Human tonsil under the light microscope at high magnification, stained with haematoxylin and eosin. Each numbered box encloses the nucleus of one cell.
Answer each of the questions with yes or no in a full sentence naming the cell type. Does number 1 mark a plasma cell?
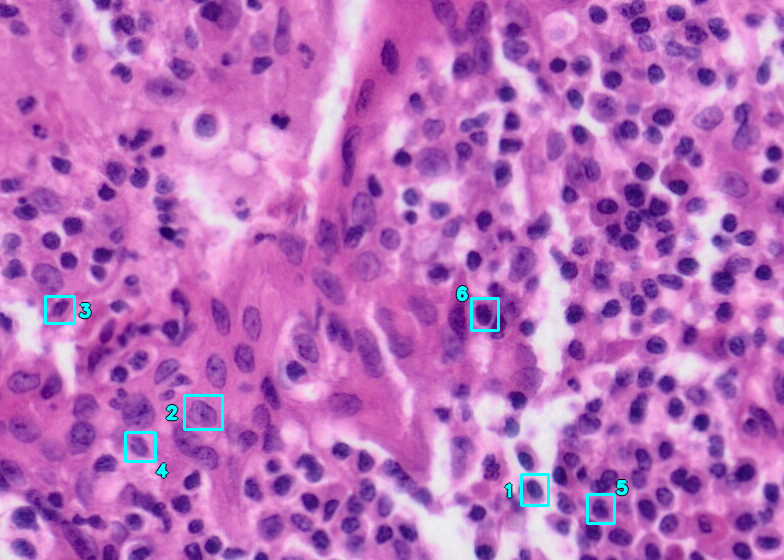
Yes, the cell whose number is 1 is a plasma cell.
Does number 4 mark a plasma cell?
No, cell 4 does not represent a plasma cell; it represents a squamous epithelial cell.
